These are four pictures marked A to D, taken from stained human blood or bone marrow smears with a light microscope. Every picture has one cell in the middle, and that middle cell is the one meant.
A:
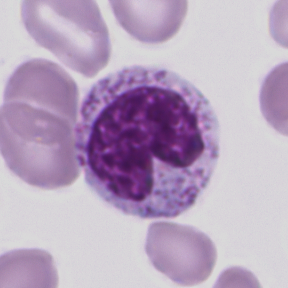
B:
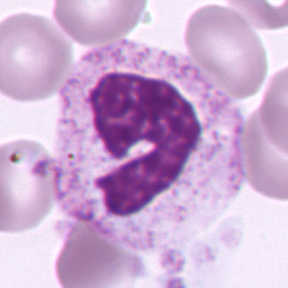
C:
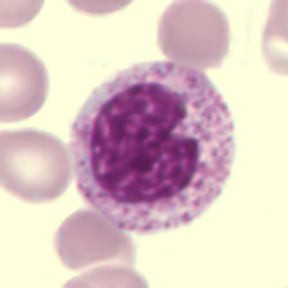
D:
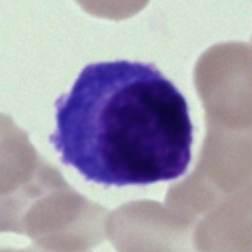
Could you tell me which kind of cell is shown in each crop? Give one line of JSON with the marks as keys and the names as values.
{"A": "band neutrophil", "B": "band neutrophil", "C": "band neutrophil", "D": "plasma cell"}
